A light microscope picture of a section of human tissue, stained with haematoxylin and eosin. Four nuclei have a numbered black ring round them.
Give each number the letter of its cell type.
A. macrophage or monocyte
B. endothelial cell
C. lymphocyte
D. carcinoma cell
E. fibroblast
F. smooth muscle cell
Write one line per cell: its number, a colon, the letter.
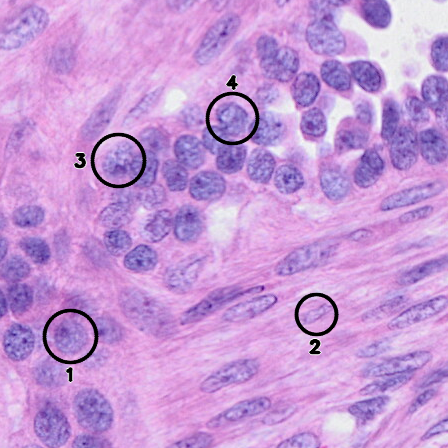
1: D
2: E
3: D
4: D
